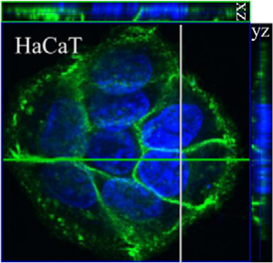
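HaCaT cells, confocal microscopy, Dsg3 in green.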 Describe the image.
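A small compact colony of keratinocyte-like epithelial cells is shown, with a bright green line running continuously along the membranes where the cells touch. Each cell holds one large oval blue nucleus that fills much of the cell. The green lines outline polygonal cells tightly packed against one another, and fainter green lies at the free outer edge of the colony. Narrow side views along the top and right edge show the cells in cross-section, with the blue nuclei and green at the cell borders.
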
